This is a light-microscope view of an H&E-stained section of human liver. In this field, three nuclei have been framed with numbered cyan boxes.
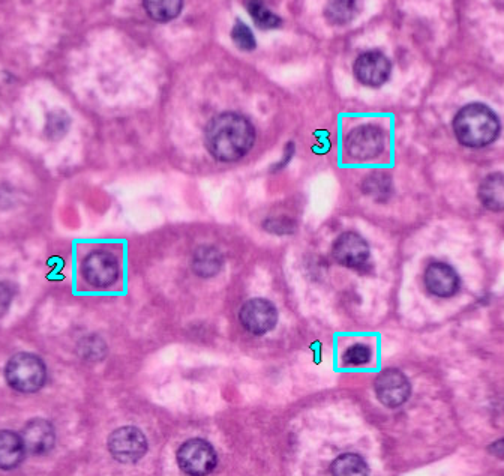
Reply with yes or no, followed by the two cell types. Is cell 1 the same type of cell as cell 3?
No, cell 1 is a lymphocyte and cell 3 is a hepatocyte.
